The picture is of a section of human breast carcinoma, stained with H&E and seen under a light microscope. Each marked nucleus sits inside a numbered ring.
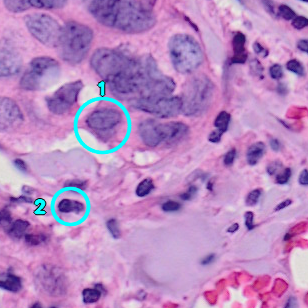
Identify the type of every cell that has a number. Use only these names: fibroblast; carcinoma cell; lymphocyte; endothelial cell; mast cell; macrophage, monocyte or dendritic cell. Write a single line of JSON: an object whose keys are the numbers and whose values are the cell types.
{"1": "carcinoma cell", "2": "lymphocyte"}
